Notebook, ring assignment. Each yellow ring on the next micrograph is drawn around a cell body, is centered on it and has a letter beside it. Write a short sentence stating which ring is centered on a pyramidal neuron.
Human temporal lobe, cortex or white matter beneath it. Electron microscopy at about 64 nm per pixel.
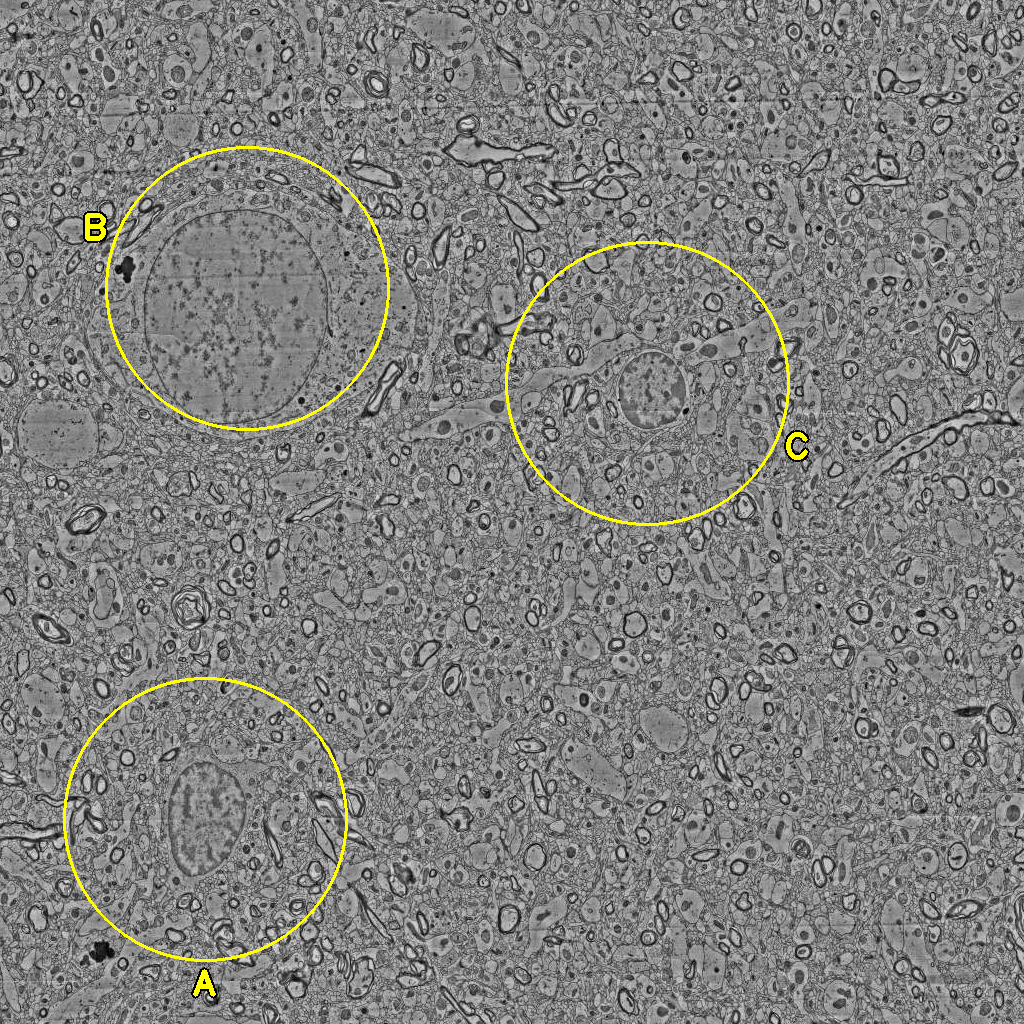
Ring B is centered on it.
